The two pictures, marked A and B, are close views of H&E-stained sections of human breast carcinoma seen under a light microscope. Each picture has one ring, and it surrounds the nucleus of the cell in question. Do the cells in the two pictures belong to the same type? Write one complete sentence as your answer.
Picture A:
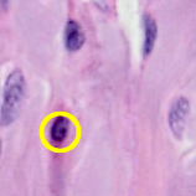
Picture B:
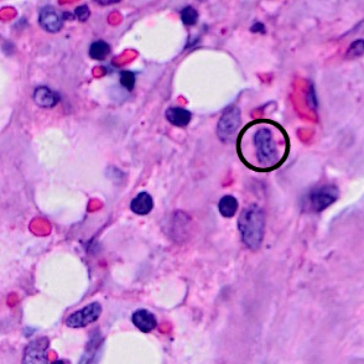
Yes, they are the same type: both are mast cells.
